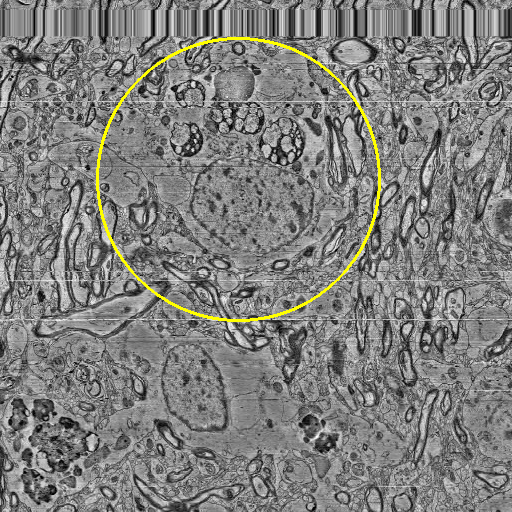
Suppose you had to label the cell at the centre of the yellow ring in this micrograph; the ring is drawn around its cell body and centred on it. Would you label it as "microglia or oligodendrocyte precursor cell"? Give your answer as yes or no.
No, I would label it as another kind.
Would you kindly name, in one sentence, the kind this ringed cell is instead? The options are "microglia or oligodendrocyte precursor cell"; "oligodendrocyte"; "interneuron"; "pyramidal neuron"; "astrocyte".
Instead, the ring in this picture marks an astrocyte.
